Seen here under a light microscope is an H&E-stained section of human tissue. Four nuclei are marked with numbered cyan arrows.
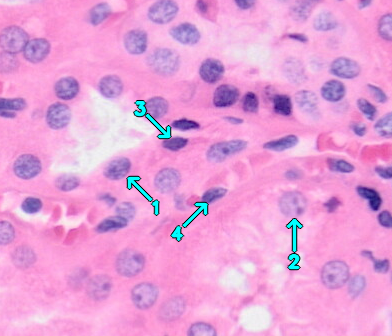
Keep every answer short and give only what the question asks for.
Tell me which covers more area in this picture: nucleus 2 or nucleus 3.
2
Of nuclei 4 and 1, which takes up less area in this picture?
4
